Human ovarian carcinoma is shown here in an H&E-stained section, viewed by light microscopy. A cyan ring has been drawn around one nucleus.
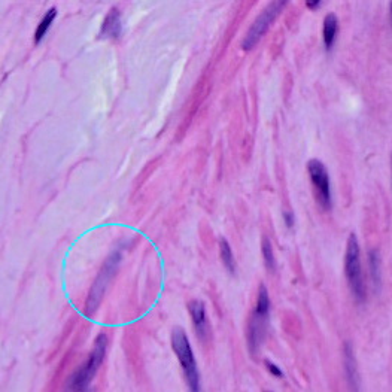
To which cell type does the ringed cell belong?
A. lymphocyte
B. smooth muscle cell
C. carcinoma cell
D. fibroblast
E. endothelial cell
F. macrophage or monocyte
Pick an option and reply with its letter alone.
B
